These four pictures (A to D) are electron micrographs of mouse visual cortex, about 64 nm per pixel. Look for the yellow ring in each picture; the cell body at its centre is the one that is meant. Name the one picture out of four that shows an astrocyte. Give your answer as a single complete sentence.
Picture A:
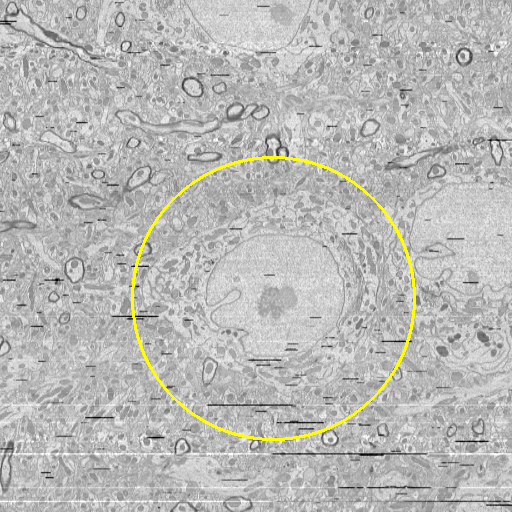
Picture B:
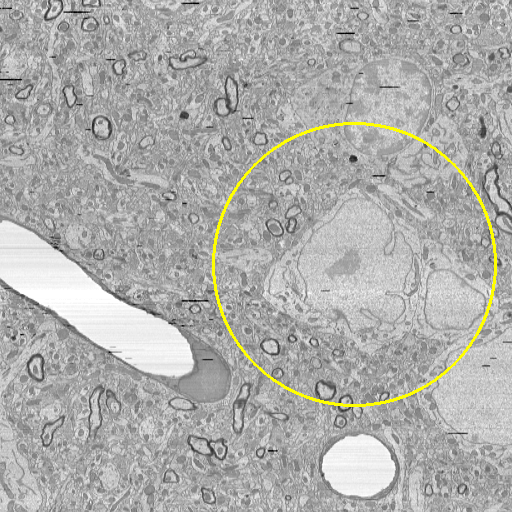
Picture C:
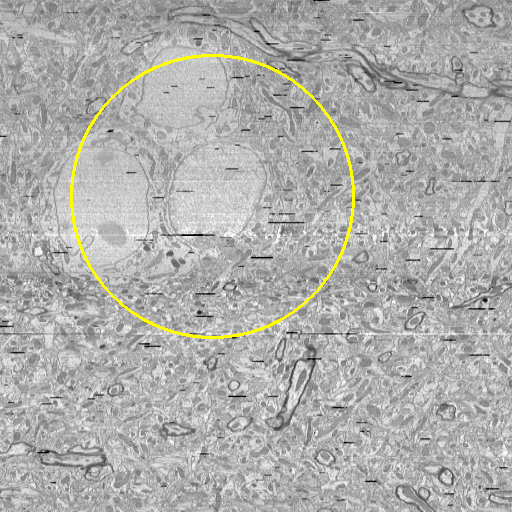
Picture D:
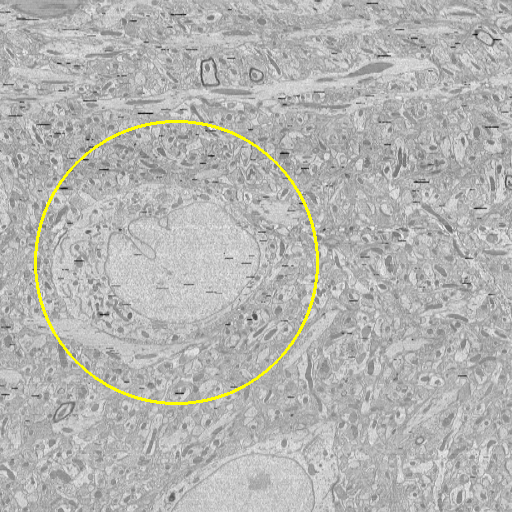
Picture C is the one that shows the astrocyte.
